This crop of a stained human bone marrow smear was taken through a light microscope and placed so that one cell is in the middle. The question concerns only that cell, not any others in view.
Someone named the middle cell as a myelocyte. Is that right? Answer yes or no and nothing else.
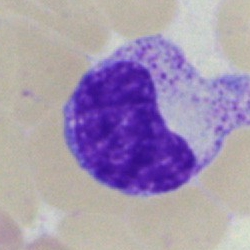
yes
